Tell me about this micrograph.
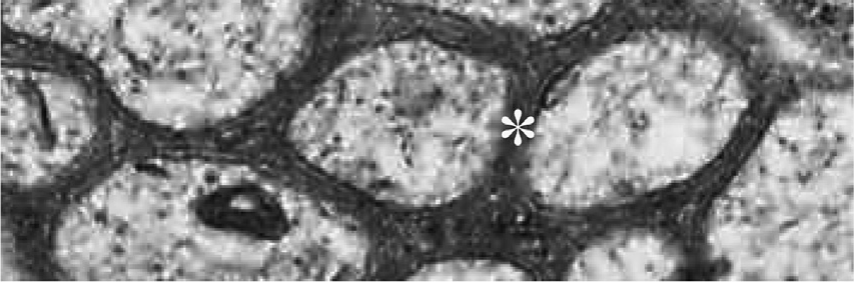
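This cross section shows a Remak bundle, in which several unmyelinated axons are held within the cytoplasm of a Schwann cell. The axons appear as large, pale, roughly round profiles filled with a fine, granular and speckled axoplasm. Each axon is enclosed by a dark band of Schwann cell membrane and cytoplasm, and these dark bands run between neighbouring axons, separating them from one another. Where several axons meet, the dark cytoplasm widens into thicker, denser strands. No thick compact myelin sheath surrounds the large pale axons.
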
